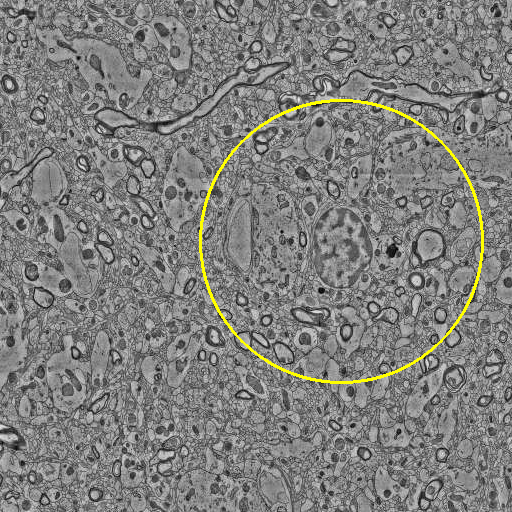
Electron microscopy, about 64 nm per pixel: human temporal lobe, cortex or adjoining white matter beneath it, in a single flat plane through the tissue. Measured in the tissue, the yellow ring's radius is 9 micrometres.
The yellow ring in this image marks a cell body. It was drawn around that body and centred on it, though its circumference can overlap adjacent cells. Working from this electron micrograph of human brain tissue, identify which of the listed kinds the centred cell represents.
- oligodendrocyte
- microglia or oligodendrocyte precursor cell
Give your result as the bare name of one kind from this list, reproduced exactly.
microglia or oligodendrocyte precursor cell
